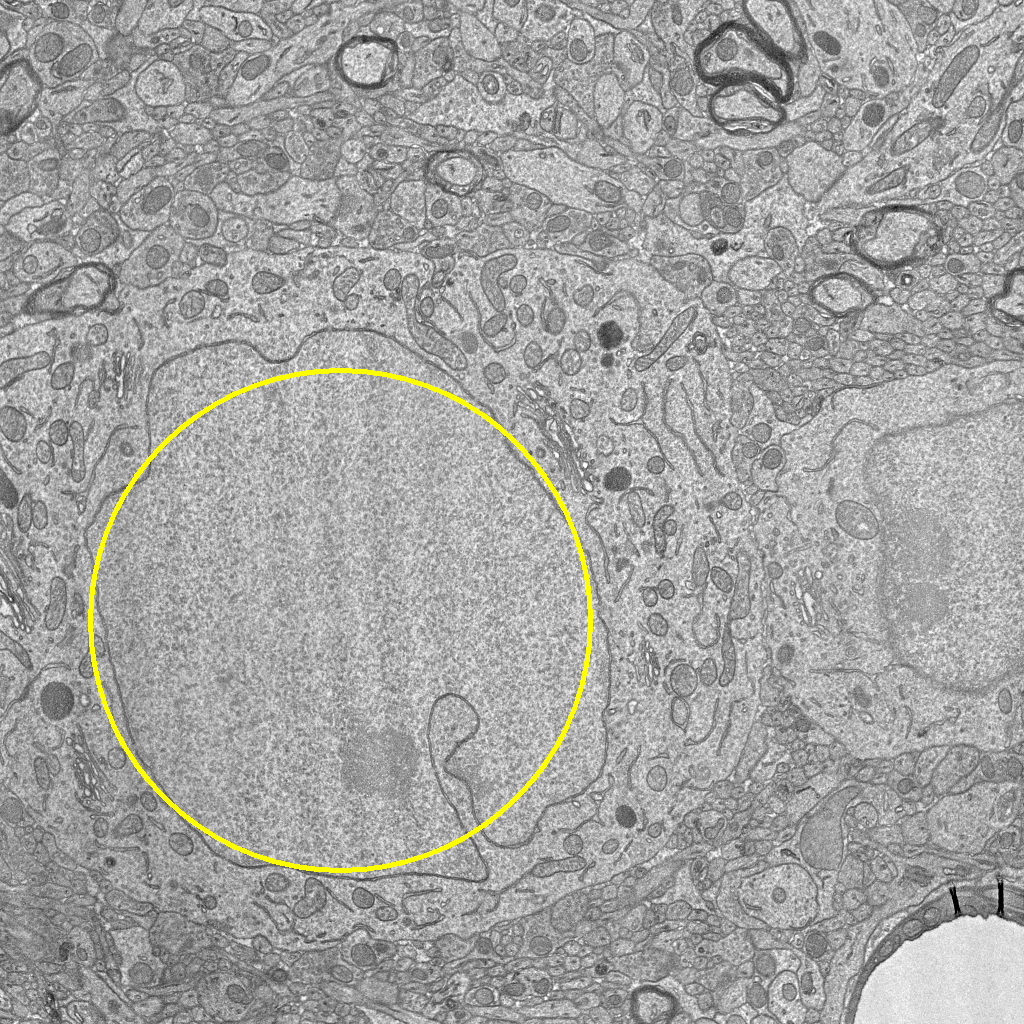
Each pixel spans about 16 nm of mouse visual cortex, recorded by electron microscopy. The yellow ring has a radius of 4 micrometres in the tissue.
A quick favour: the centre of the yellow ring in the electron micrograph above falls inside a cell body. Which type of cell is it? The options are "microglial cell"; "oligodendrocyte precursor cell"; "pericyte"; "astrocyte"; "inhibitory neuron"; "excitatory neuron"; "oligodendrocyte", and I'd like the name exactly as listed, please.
inhibitory neuron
